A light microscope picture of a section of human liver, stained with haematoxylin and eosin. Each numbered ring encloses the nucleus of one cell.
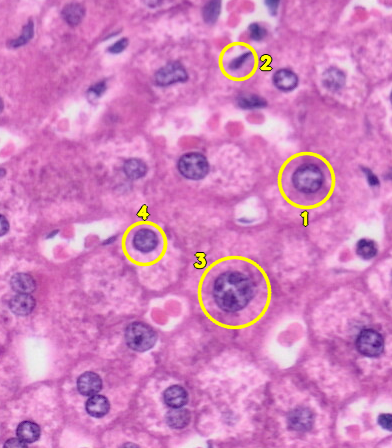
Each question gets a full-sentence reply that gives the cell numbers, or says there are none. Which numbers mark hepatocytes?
The cells whose numbers are 1, 3 and 4 are hepatocytes.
